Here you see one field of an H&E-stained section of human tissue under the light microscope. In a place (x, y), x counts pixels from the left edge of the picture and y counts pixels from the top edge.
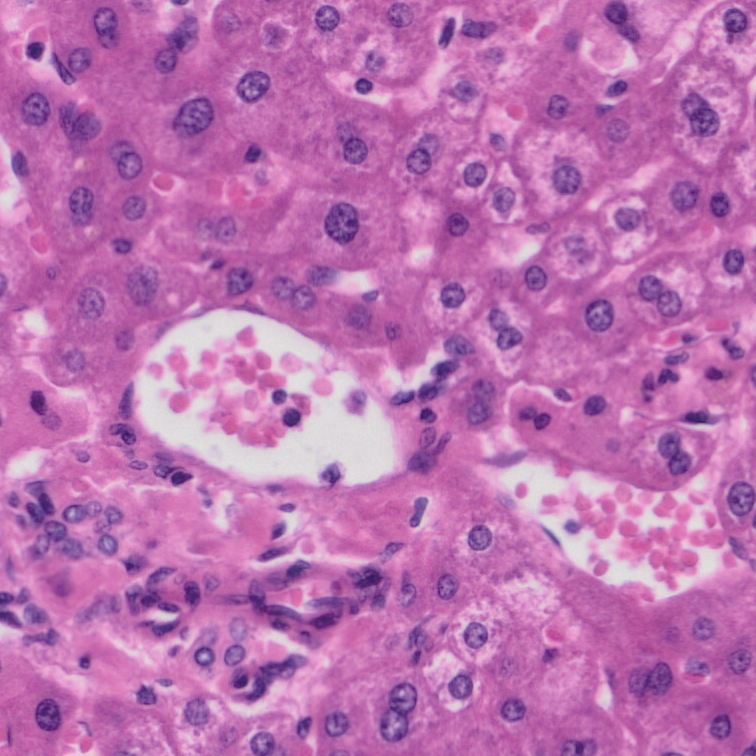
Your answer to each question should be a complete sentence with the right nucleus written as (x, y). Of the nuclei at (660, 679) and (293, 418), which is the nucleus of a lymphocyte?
The nucleus situated at (293, 418) is the one belonging to a lymphocyte.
